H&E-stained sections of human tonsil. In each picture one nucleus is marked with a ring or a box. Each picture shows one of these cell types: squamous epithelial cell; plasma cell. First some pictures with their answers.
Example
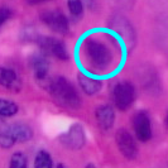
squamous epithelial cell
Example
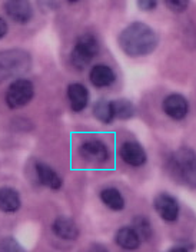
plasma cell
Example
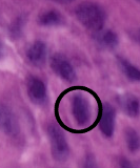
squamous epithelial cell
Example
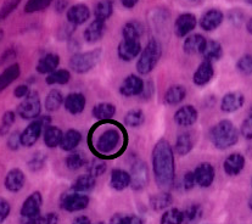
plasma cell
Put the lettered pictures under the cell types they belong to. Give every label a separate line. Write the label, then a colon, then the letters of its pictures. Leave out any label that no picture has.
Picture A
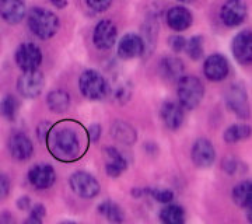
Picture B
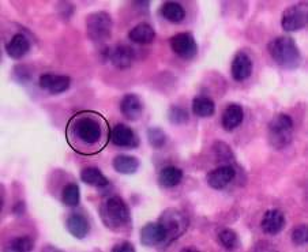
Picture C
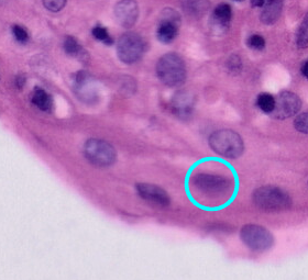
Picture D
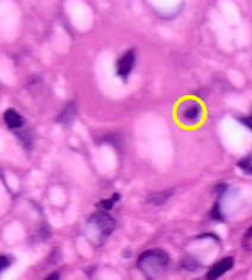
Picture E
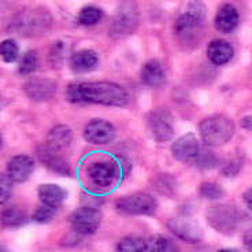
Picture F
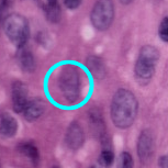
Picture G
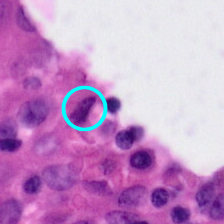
squamous epithelial cell: C, D, F, G
plasma cell: A, B, E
